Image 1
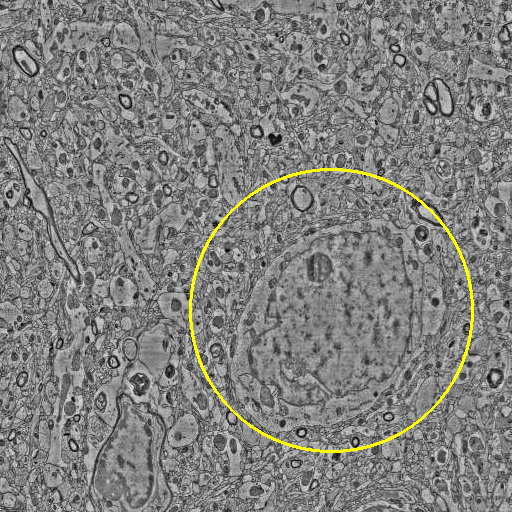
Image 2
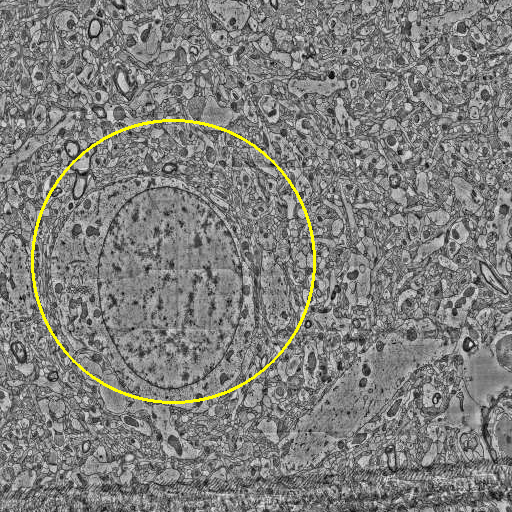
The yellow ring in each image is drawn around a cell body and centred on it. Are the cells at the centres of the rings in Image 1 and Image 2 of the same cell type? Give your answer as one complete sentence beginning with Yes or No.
No, the two cells are of two separate types.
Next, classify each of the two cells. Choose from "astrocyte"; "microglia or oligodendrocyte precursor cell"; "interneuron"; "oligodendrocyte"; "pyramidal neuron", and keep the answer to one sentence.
In the first picture it is an interneuron; in the second it is a pyramidal neuron.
